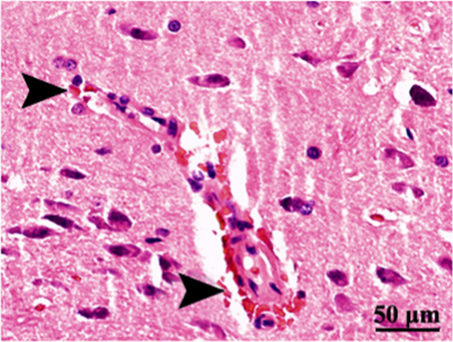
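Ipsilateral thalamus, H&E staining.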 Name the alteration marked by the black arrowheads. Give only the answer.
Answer: extravasation of erythrocyte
